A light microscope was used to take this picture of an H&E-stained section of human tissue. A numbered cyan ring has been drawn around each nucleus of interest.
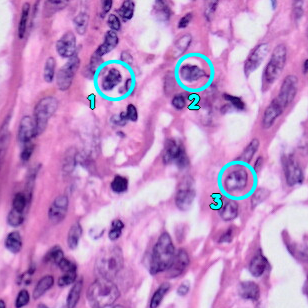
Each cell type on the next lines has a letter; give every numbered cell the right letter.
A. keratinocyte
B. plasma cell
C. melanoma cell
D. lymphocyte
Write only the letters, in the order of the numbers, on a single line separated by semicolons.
D; D; C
